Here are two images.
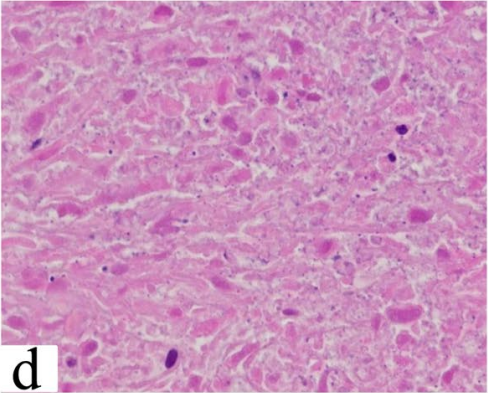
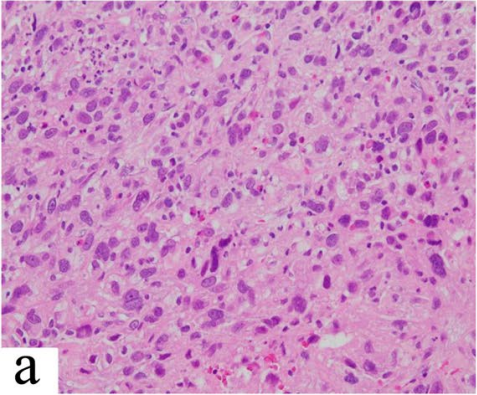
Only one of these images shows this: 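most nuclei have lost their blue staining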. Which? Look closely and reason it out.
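The first image. First image: pink cell ghosts with hardly any blue nuclei. Second image: dense cells each with a clearly stained blue-purple nucleus.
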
